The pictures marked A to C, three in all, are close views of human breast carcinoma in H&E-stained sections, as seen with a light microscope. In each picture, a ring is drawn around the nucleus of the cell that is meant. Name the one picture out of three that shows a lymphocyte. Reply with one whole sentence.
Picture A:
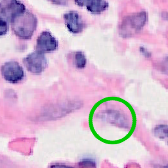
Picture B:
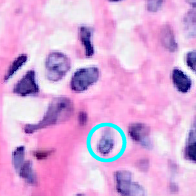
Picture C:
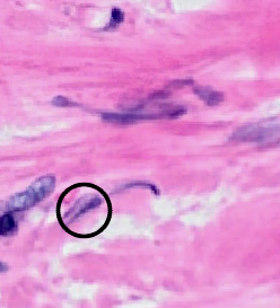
The lymphocyte is the one in picture B.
